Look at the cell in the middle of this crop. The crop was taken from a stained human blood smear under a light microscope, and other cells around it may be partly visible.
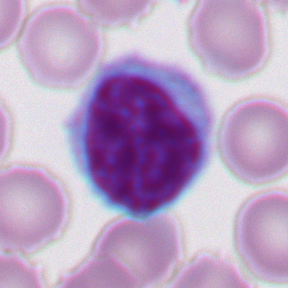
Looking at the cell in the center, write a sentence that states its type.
In this crop, the cell at the very middle is a typical lymphocyte.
